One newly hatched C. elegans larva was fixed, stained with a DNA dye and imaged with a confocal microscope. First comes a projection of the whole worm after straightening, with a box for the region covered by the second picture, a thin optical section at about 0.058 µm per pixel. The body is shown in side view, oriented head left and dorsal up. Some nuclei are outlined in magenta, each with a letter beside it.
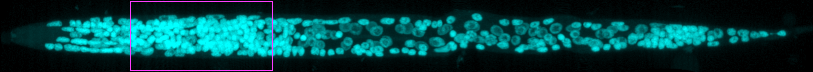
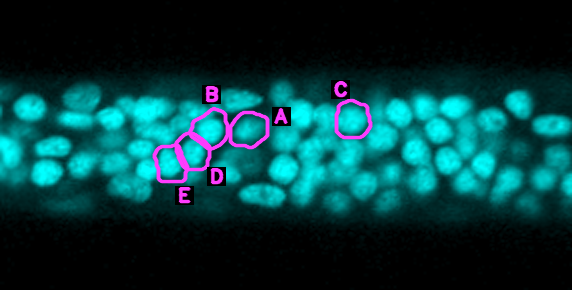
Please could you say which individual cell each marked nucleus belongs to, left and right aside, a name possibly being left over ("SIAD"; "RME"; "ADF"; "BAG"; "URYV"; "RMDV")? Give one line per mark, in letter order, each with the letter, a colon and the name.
A: RMDV
B: RME
C: ADF
D: BAG
E: URYV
